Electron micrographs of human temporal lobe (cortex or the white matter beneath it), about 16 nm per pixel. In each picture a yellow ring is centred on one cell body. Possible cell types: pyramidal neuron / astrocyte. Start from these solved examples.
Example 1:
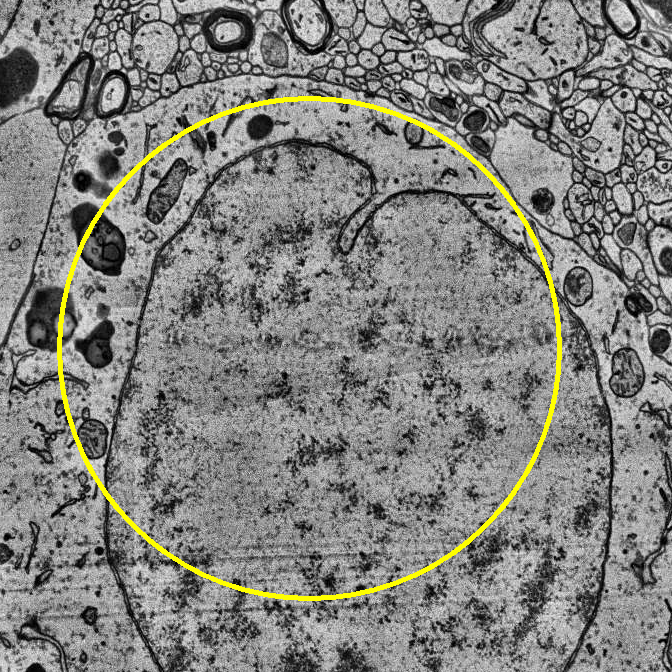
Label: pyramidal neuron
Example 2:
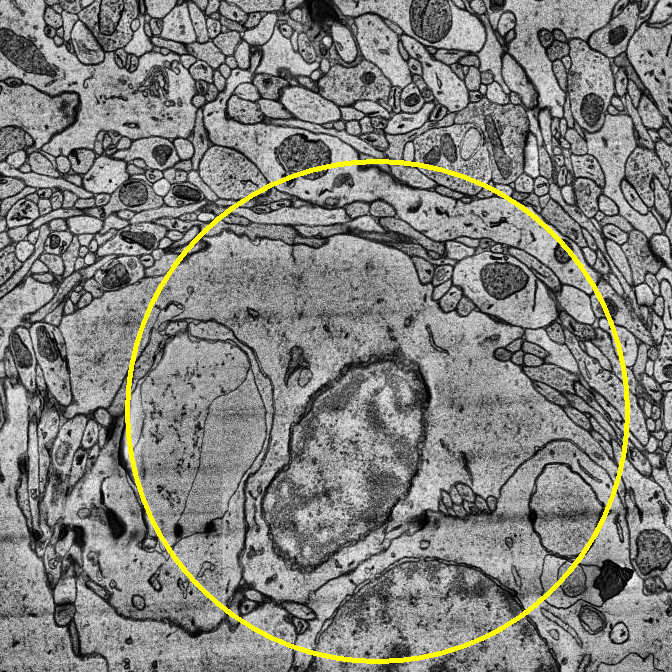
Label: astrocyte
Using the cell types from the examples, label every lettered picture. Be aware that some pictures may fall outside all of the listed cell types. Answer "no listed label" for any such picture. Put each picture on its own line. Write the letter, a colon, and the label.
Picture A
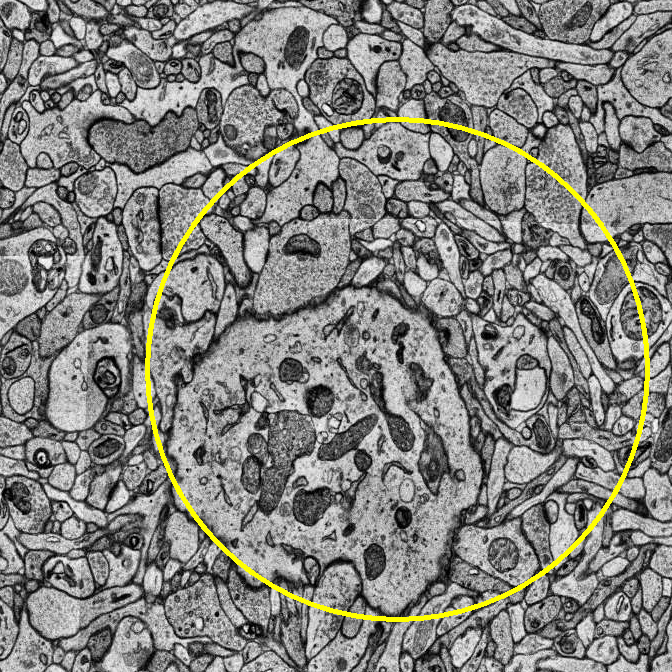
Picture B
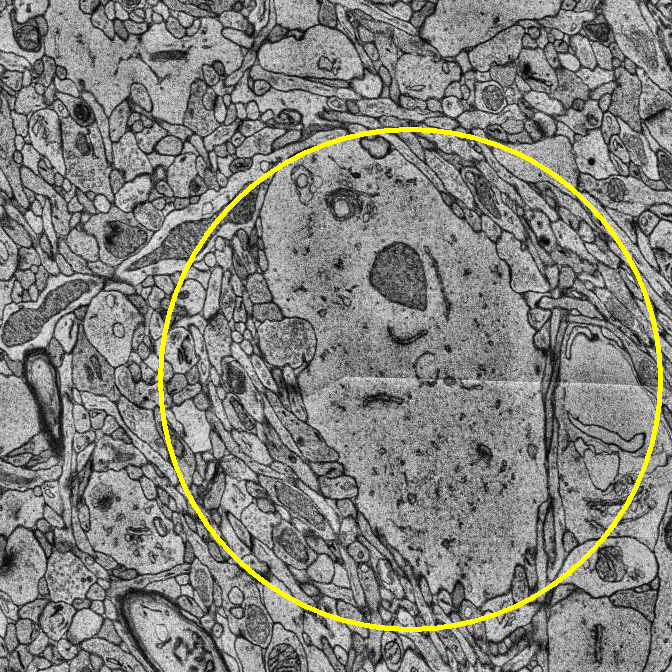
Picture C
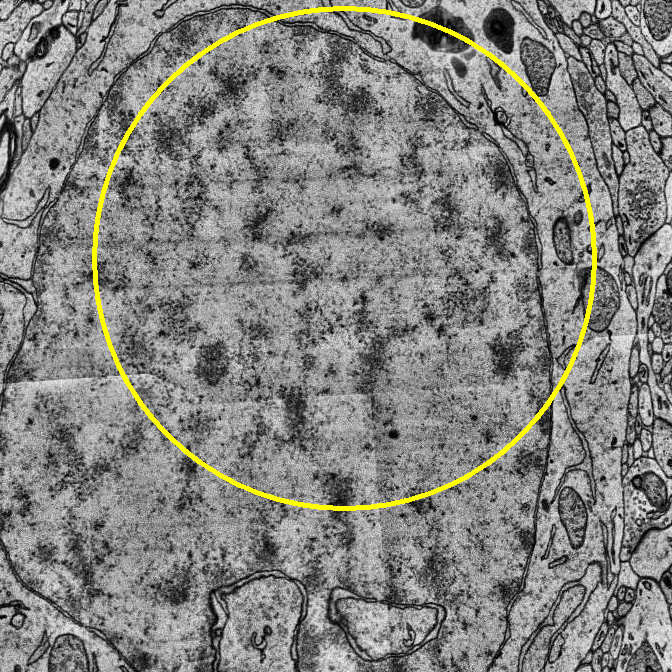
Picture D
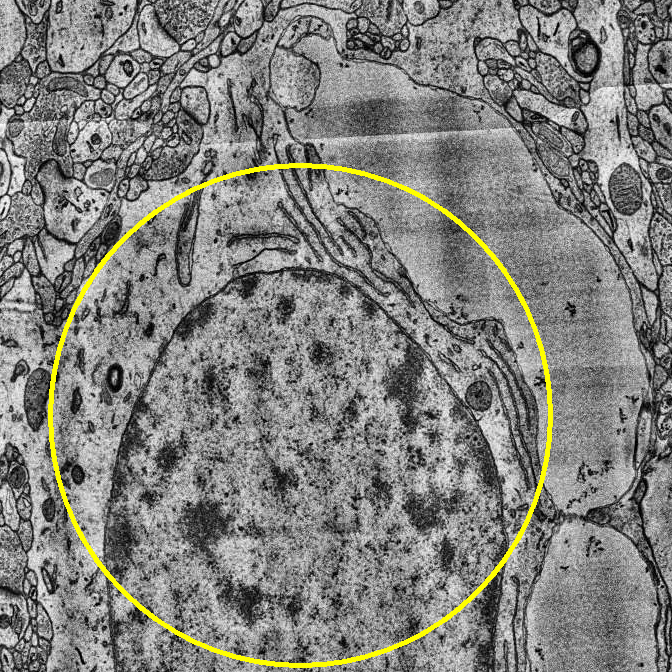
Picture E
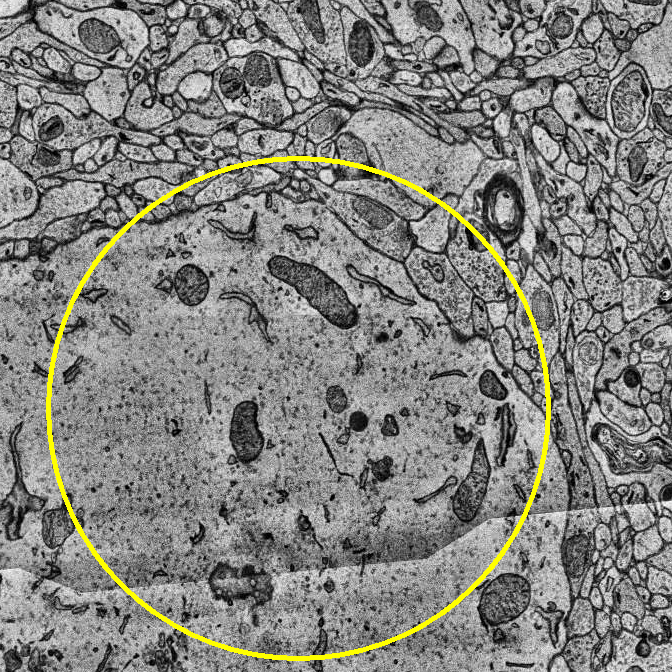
A: no listed label
B: astrocyte
C: no listed label
D: astrocyte
E: pyramidal neuron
